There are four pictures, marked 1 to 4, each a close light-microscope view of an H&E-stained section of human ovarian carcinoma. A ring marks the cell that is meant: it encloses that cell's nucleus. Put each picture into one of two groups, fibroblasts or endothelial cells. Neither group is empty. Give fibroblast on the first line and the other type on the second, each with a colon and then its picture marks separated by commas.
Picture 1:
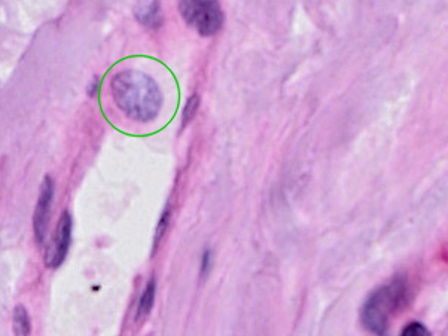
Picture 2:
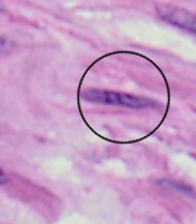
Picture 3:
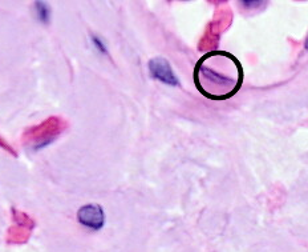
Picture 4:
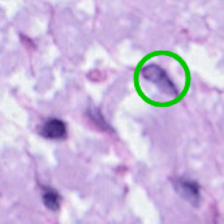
fibroblast: 2, 4
endothelial cell: 1, 3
